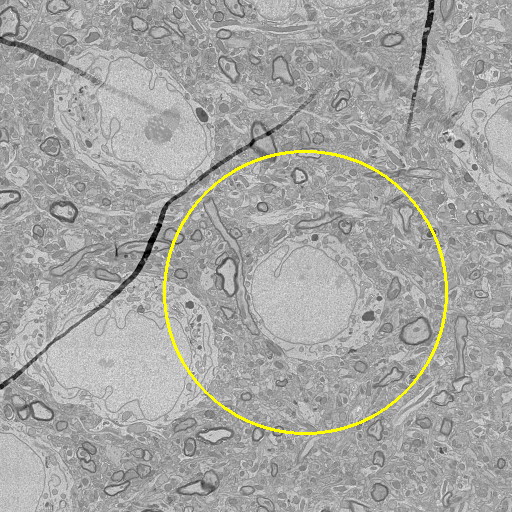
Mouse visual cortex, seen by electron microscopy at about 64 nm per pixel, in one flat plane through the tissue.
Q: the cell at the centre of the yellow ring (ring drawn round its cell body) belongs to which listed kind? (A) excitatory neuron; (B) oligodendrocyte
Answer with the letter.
A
